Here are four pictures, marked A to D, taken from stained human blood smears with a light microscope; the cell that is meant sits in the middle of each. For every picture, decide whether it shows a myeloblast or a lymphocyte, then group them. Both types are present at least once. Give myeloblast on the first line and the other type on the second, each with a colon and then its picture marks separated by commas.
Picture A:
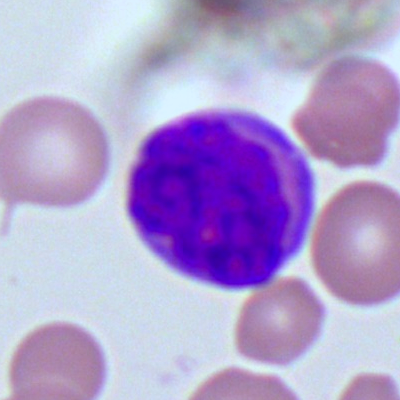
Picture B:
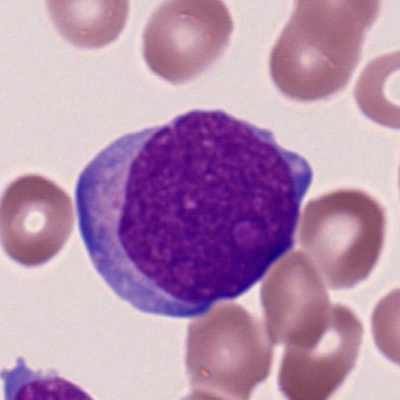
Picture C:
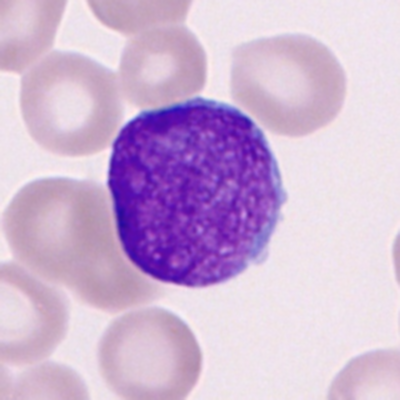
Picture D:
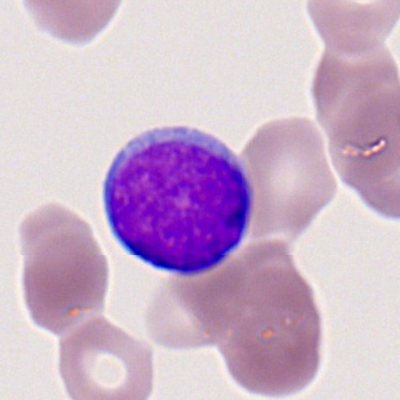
myeloblast: B, C, D
lymphocyte: A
